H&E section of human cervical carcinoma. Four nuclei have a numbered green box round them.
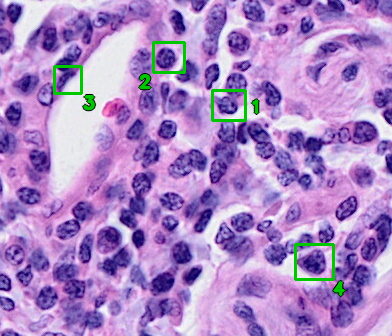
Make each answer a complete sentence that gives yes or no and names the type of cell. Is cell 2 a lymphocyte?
Yes, the cell to which number 2 refers is a lymphocyte.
